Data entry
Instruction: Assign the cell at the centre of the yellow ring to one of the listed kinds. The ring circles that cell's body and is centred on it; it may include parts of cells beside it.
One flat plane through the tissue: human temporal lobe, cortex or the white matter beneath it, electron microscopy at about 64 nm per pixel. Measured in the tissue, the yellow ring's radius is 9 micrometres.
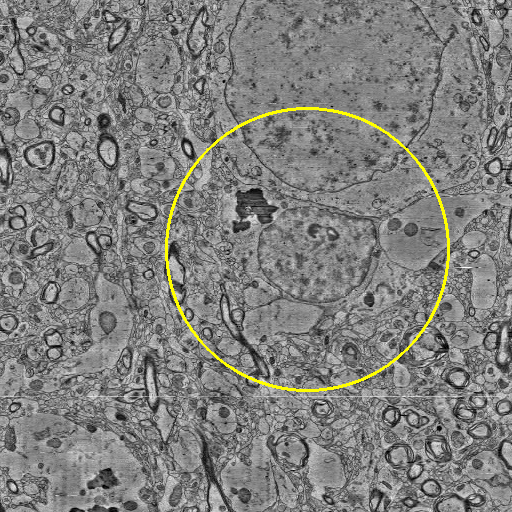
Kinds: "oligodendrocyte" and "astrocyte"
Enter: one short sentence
The centre of the ring falls on an oligodendrocyte.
